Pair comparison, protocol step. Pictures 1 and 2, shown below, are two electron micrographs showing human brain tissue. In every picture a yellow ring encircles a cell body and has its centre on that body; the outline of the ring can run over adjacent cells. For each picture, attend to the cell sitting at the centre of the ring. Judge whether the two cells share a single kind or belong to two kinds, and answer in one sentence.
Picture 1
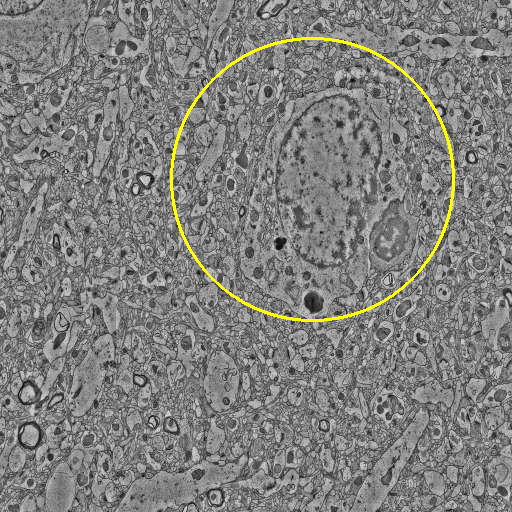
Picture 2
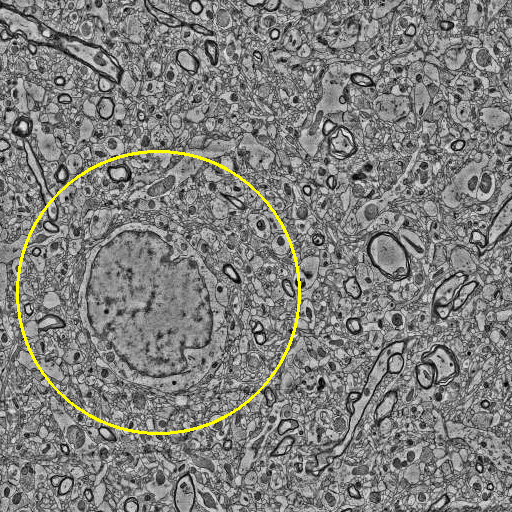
The two cells at the ring centres in Picture 1 and Picture 2 share a single kind.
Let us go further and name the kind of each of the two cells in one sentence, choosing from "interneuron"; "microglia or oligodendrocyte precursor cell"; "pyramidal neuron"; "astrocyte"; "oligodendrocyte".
The cell in the first picture is an interneuron, and so is the one in the second.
